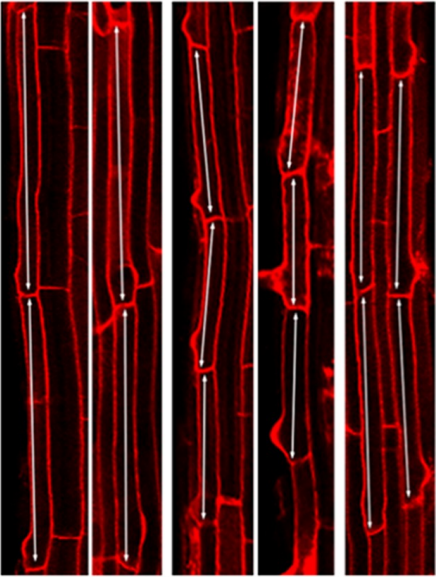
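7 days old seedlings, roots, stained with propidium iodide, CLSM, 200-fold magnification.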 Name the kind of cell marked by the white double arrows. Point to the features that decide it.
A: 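The double arrows span long, narrow, rectangular cells lying end to end in files along the root. The cell walls are outlined in red. Some of the marked cells show a small bulge of the wall near one end.
Hence: trichoblasts.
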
